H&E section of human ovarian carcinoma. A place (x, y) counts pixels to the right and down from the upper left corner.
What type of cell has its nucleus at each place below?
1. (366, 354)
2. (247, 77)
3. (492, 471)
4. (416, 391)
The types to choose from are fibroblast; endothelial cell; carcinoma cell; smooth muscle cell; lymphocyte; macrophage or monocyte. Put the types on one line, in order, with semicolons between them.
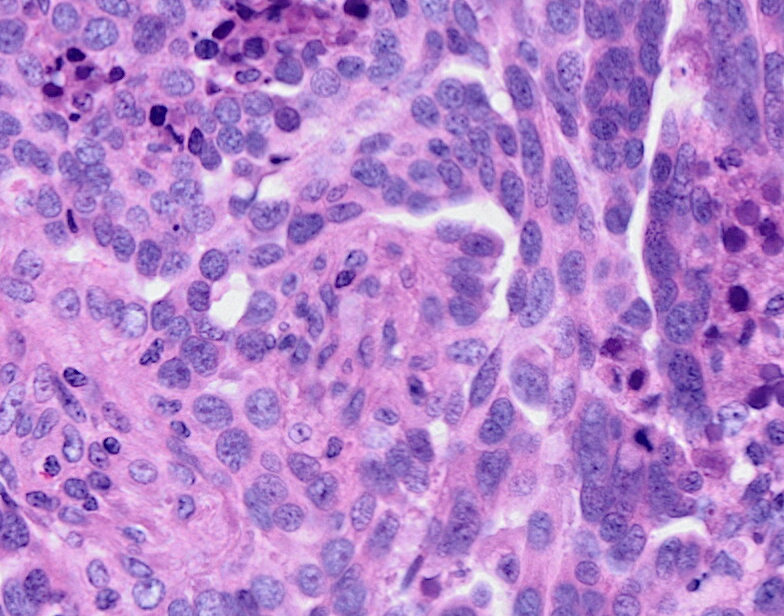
fibroblast; macrophage or monocyte; carcinoma cell; lymphocyte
